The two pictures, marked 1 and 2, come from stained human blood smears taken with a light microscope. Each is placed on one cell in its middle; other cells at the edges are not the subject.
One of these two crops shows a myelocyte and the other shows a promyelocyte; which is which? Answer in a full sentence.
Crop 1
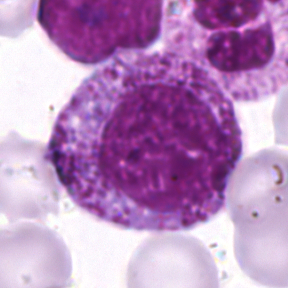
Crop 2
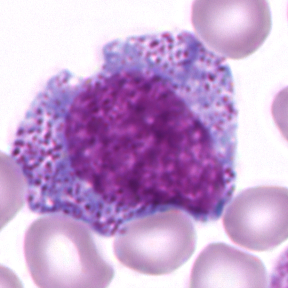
Crop 1 is recognised as a myelocyte, crop 2 as a promyelocyte.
